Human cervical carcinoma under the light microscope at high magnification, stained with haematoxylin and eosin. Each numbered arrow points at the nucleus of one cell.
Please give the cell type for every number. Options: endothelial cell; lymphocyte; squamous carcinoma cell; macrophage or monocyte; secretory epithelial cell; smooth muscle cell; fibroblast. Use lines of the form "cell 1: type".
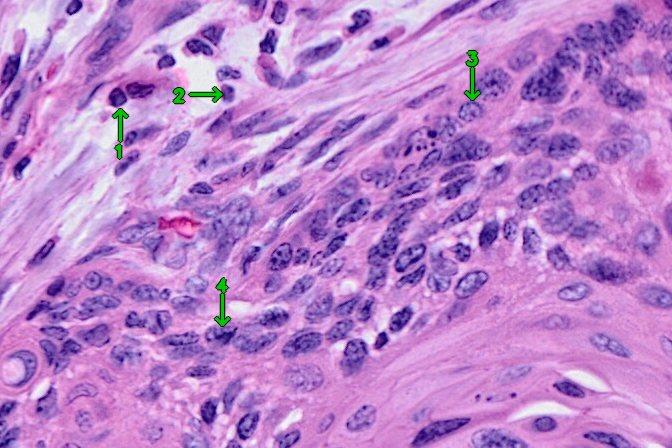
cell 1: lymphocyte
cell 2: lymphocyte
cell 3: squamous carcinoma cell
cell 4: squamous carcinoma cell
